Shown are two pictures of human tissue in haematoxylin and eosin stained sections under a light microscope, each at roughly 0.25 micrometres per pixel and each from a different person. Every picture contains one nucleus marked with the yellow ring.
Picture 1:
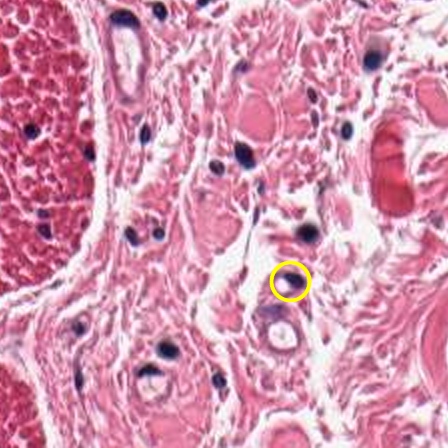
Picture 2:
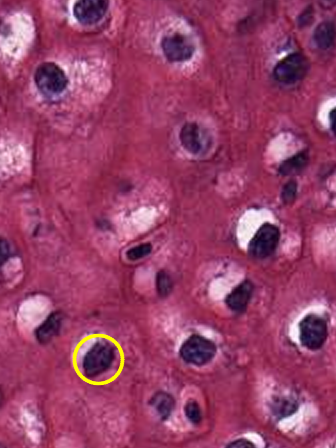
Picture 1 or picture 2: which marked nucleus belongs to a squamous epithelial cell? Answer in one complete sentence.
In picture 2, it is a squamous epithelial cell that the marked nucleus belongs to.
